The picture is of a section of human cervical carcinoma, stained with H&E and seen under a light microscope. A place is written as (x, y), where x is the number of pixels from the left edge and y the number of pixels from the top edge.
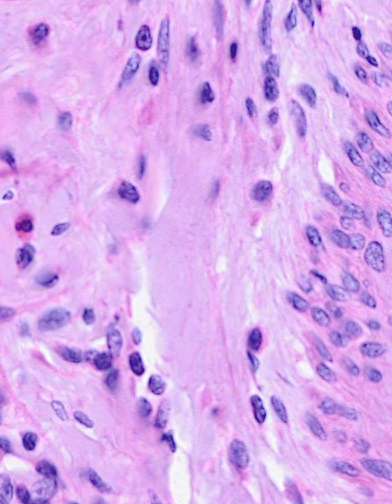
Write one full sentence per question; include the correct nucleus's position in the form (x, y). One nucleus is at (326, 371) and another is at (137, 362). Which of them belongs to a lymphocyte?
Between the two nuclei, the one sitting at (137, 362) belongs to a lymphocyte.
